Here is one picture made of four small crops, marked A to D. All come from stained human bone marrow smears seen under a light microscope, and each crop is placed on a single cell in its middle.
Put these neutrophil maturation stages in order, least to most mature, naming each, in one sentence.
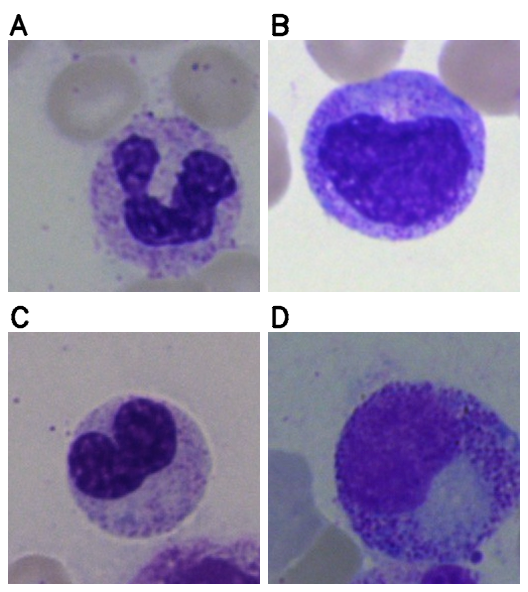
Along the maturation pathway, from earliest to latest, the order is crop D (a myelocyte), crop B (a metamyelocyte), crop C (a band neutrophil) and crop A (a segmented neutrophil).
